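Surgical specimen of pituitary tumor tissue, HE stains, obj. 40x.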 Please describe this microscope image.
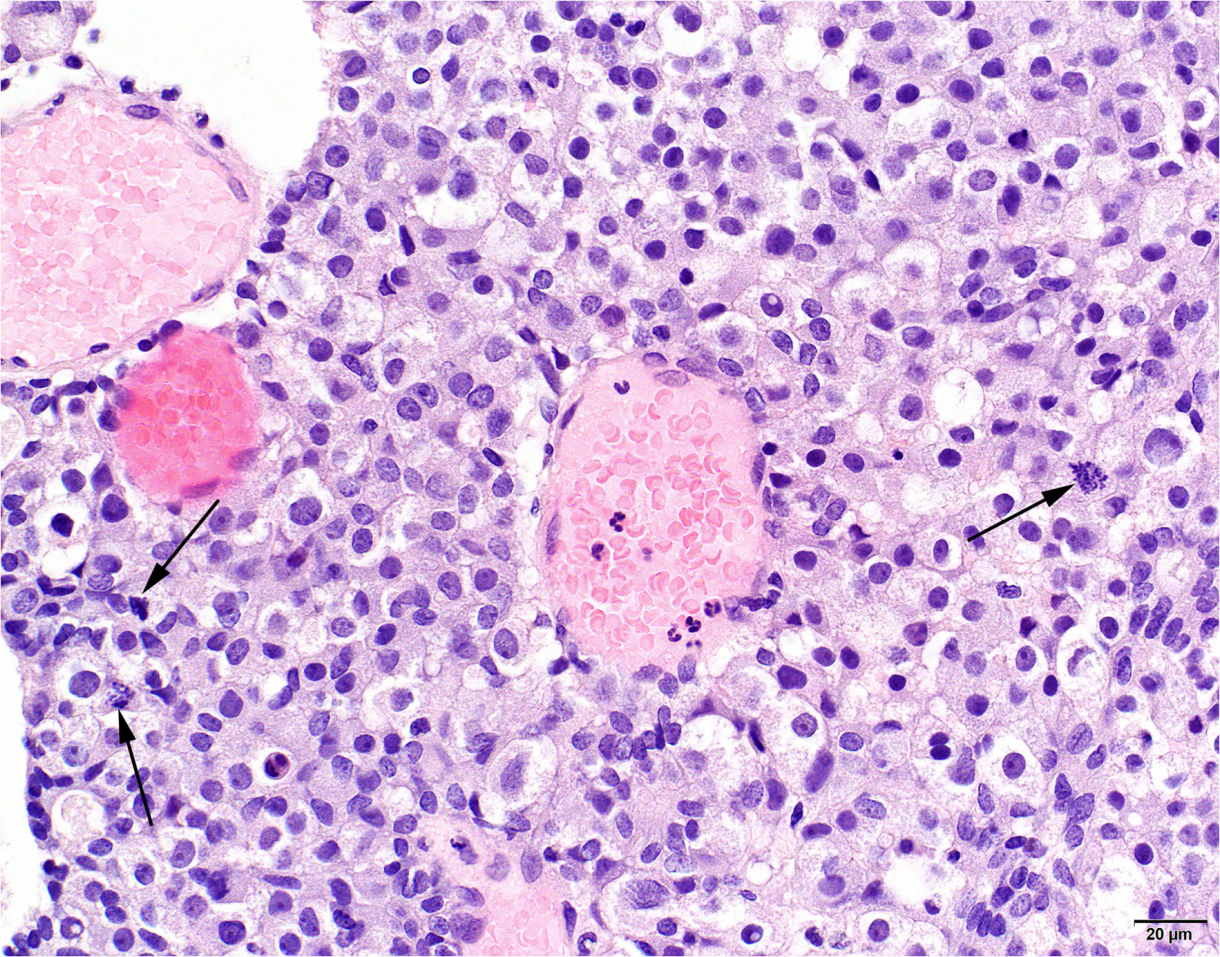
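A few thin-walled vessels full of pink red blood cells run through the sheets. Look at the nuclei: they are round to oval but differ greatly in size, from small dark ones to large, paler ones with visible chromatin. Many cells have clear, bubbly cytoplasm. Scattered among them are cells in division, where the chromatin forms dark, clumped, irregular masses without a nuclear outline; these are mitotic figures.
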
